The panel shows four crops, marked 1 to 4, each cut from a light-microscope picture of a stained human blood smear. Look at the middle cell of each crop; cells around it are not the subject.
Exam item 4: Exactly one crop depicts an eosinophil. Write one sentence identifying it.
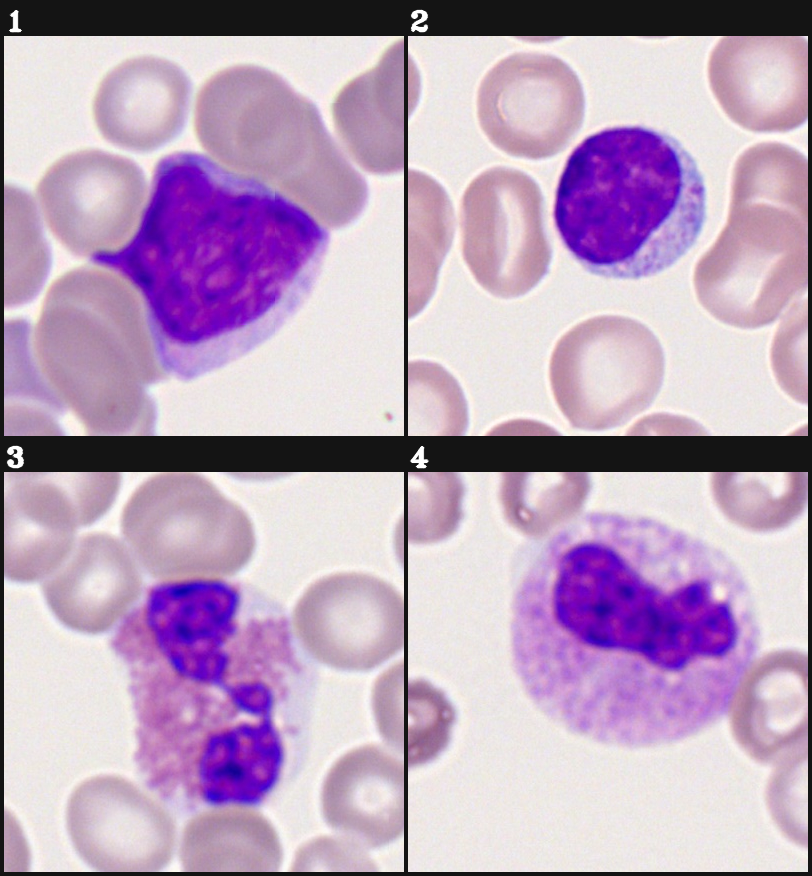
It is in crop 3 that an eosinophil is shown.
